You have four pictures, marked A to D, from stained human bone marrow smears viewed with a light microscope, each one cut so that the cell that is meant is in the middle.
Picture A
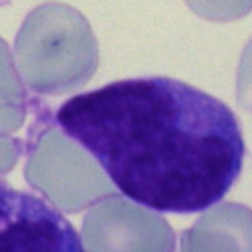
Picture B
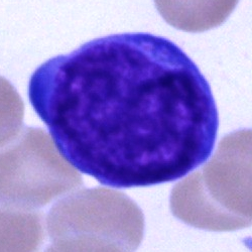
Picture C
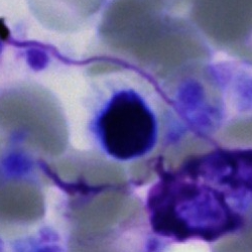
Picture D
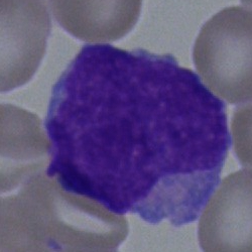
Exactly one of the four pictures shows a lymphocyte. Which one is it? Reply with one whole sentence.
Picture C shows the lymphocyte.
